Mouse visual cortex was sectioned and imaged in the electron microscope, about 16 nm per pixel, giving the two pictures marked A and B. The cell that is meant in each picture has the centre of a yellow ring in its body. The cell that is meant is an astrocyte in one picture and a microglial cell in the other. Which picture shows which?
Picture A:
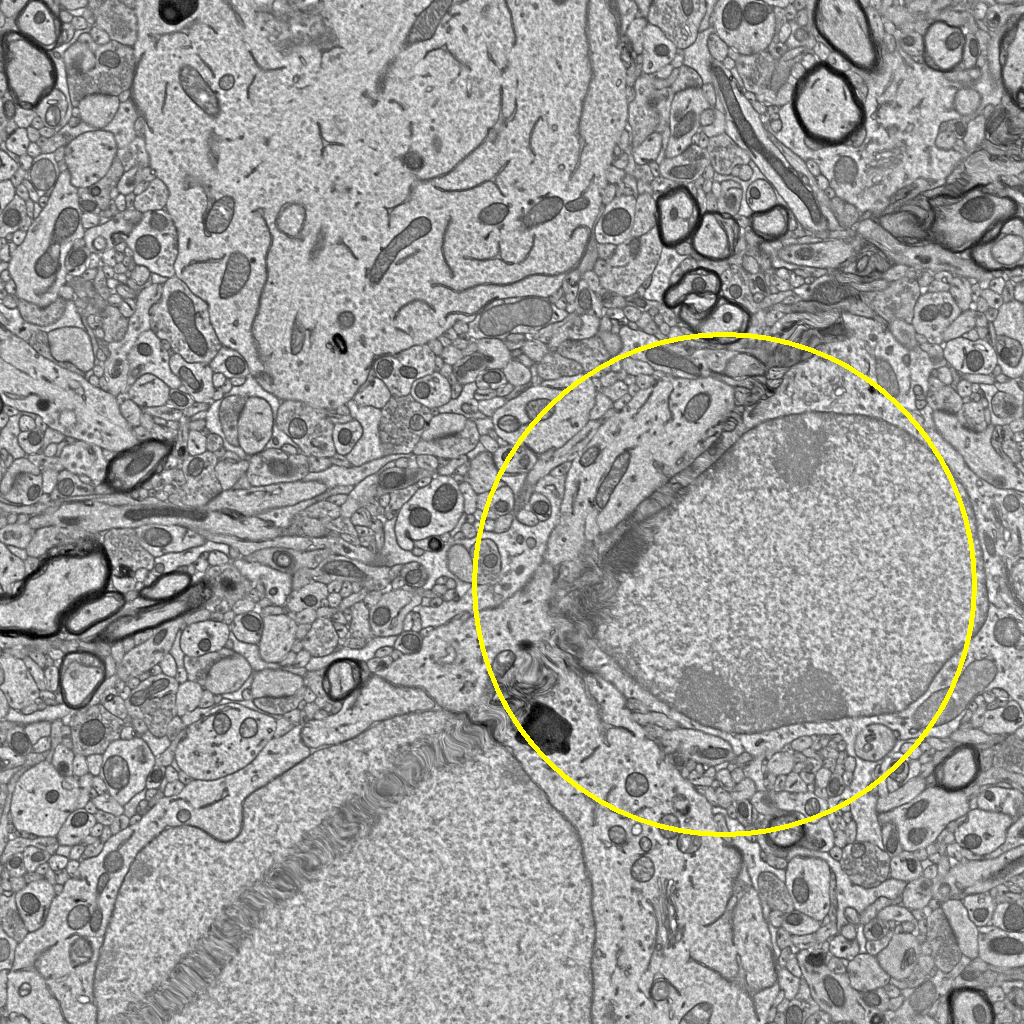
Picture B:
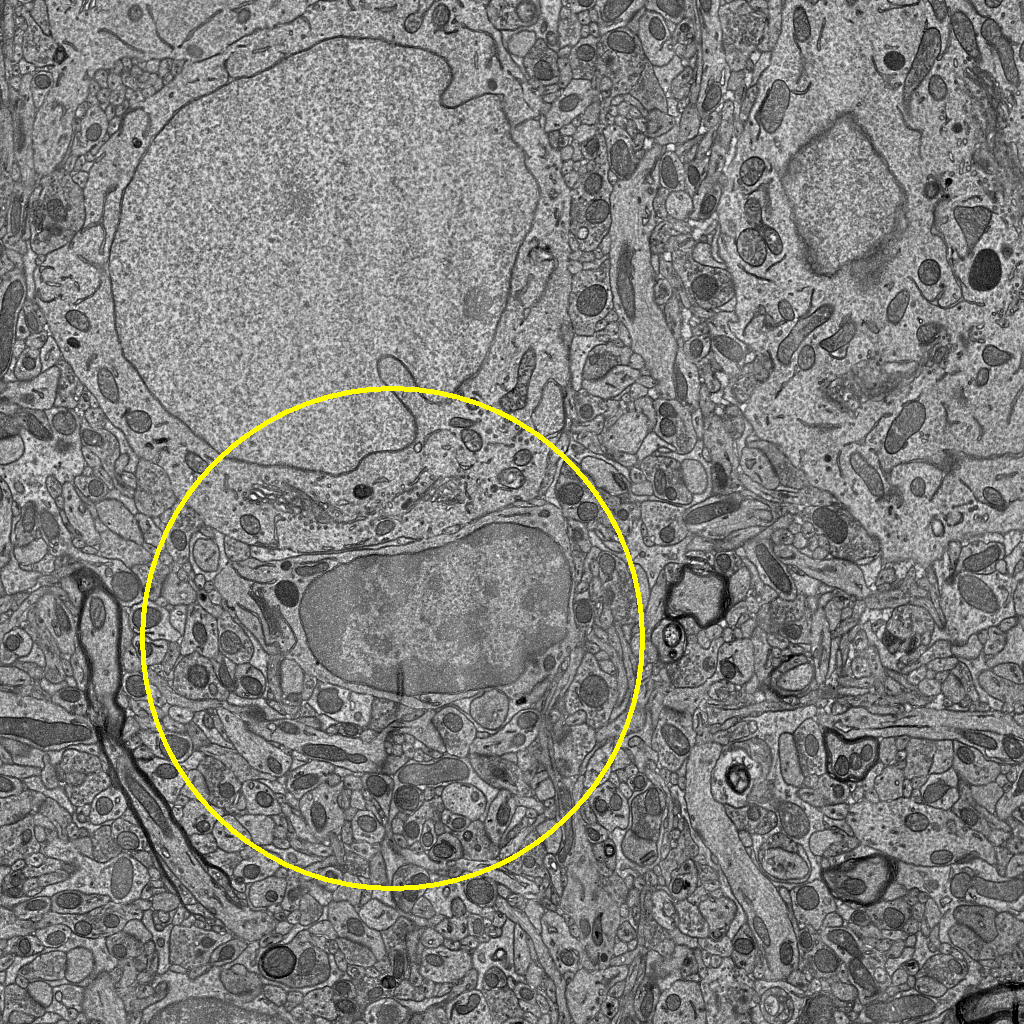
Picture B shows a microglial cell, while picture A shows an astrocyte.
